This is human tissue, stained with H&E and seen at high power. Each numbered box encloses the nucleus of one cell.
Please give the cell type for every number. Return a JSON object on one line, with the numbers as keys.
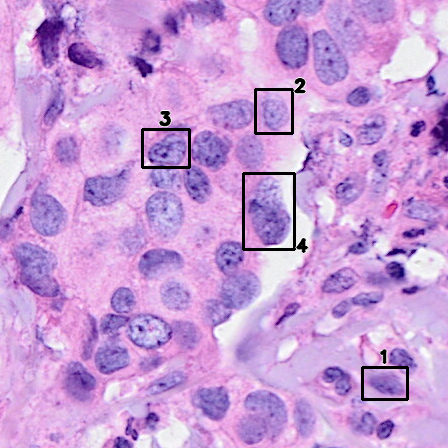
{"1": "fibroblast", "2": "carcinoma cell", "3": "carcinoma cell", "4": "carcinoma cell"}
